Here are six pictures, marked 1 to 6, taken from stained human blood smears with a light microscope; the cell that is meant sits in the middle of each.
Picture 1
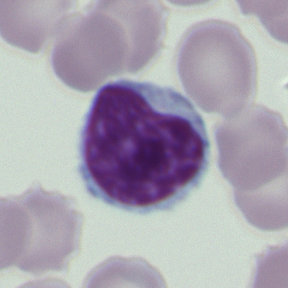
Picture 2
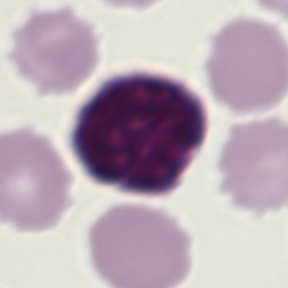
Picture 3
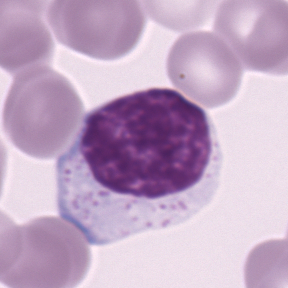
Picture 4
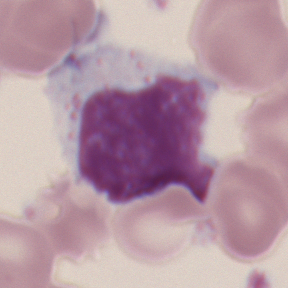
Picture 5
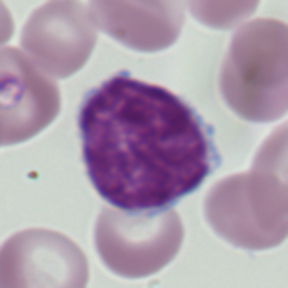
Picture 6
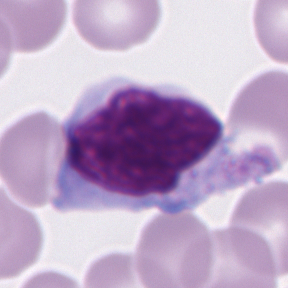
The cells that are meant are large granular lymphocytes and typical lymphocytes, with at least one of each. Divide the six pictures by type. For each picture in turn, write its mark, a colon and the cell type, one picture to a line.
1: typical lymphocyte
2: typical lymphocyte
3: large granular lymphocyte
4: large granular lymphocyte
5: typical lymphocyte
6: large granular lymphocyte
